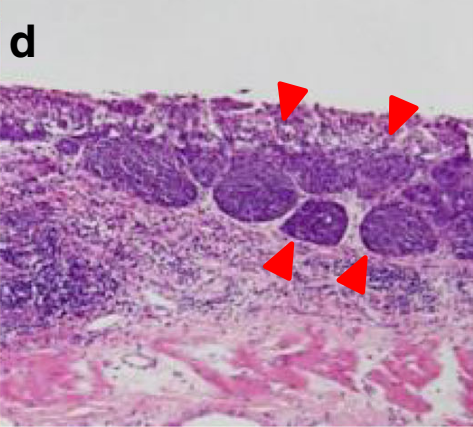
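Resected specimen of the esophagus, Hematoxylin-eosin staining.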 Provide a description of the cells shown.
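In the superficial layer of the esophageal wall there is a row of rounded, sharply bordered nests of tightly packed cells. Their nuclei are crowded and stain deep purple, with little visible cytoplasm, so the nests look much darker than the tissue around them. The tissue surrounding the nests is loose and paler, with many scattered small dark nuclei. Deeper down lie pink bundles of muscle fibres. Above the surface is a pale, empty background.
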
